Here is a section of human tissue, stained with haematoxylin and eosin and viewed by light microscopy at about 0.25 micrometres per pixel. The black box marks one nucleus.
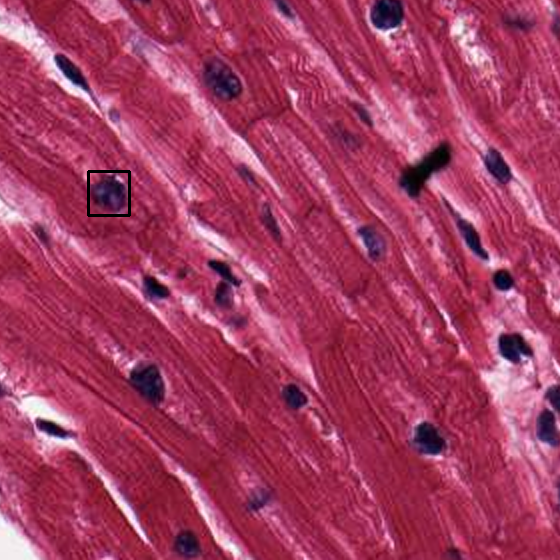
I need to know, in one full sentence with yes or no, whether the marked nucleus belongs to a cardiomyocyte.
Yes, it is within a cardiomyocyte that the marked nucleus lies.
